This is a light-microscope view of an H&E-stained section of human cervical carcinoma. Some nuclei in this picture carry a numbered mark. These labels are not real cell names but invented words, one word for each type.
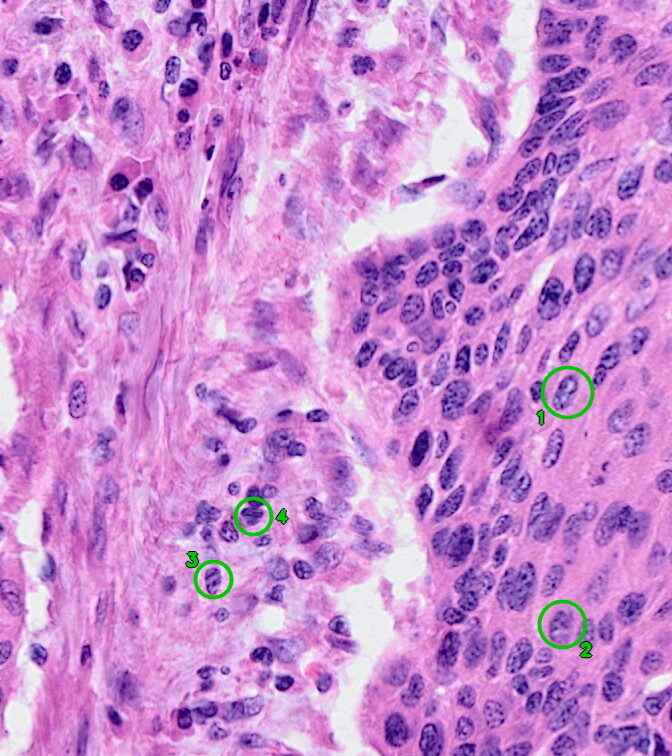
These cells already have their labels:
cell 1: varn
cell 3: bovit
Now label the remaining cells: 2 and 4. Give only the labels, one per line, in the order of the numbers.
varn
bovit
